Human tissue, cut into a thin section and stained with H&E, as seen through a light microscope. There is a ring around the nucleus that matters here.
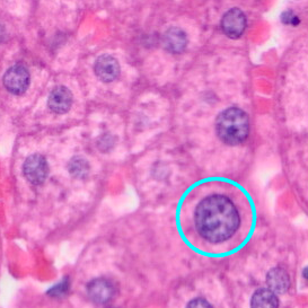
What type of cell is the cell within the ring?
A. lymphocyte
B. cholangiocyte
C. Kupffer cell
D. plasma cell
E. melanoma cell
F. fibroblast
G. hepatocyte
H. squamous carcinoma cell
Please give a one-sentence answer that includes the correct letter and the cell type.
The choice that fits is option G, as the cell within the ring is a hepatocyte.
